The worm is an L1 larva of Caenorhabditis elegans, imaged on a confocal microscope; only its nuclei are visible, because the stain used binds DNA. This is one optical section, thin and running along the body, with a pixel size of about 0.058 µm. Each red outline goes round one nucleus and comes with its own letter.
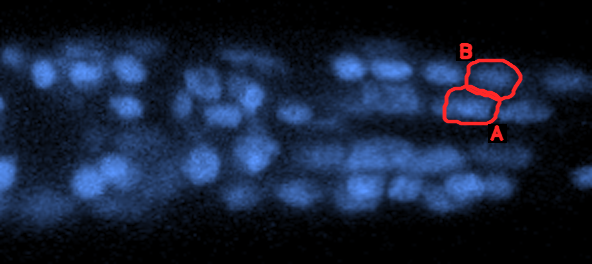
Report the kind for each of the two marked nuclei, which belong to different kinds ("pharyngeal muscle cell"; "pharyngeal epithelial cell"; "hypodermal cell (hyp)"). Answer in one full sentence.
A is in a pharyngeal muscle cell and B is in a hypodermal cell (hyp).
